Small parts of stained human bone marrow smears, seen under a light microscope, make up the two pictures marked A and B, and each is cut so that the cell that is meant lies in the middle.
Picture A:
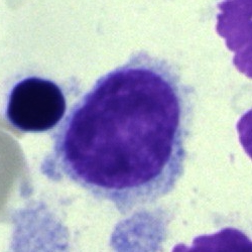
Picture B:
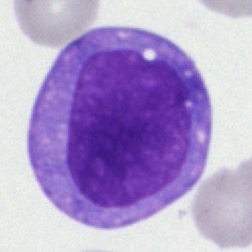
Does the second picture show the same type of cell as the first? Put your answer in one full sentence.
No. Picture A shows a hairy cell, but picture B shows a blast.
